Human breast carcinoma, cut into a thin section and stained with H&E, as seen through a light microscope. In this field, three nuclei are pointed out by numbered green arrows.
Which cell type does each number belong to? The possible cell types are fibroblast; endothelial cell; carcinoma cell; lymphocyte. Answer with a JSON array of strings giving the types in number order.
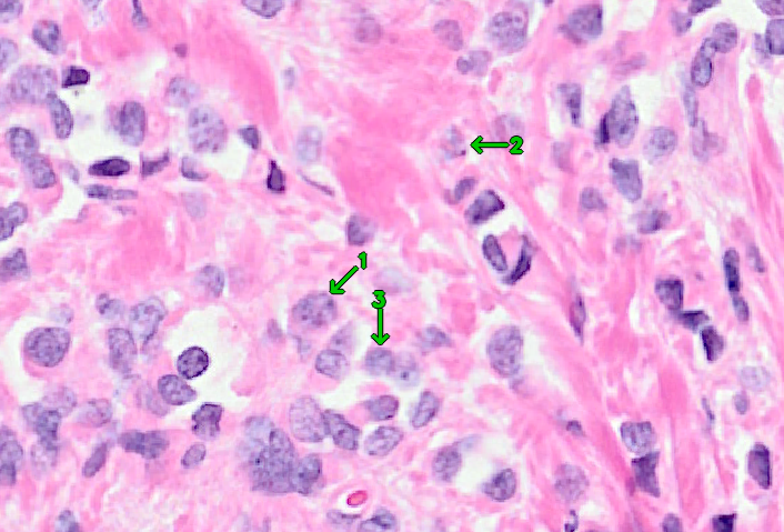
["carcinoma cell", "fibroblast", "carcinoma cell"]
